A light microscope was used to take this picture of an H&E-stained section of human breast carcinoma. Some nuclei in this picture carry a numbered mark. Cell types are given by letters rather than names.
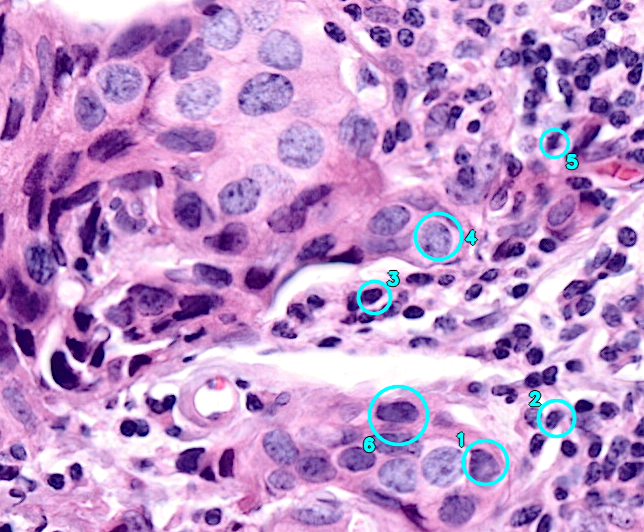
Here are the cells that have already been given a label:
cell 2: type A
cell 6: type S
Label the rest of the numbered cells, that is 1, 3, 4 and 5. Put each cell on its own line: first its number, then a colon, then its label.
1: type S
3: type A
4: type S
5: type A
